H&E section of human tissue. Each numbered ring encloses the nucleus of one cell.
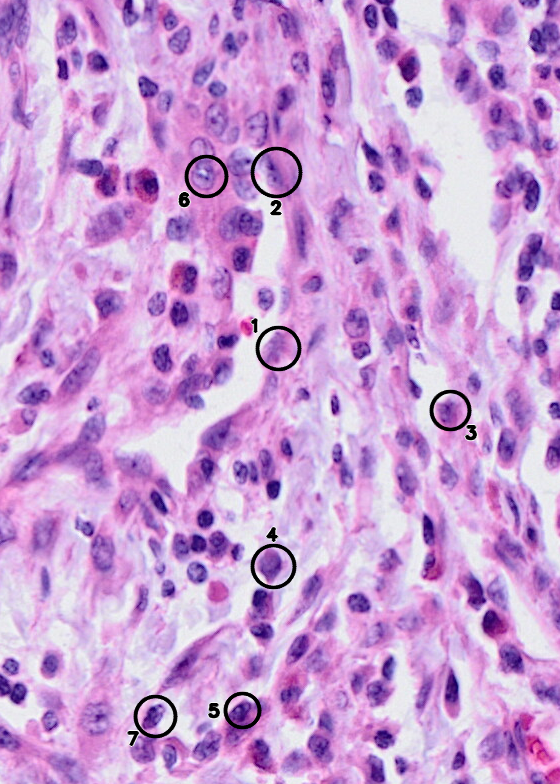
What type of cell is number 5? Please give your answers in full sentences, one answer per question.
Number 5 among the marked cells is a lymphocyte.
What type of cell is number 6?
At number 6, the marked cell is an endothelial cell.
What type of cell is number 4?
In this section, the cell tagged 4 is a macrophage or monocyte.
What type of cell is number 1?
The nucleus labelled 1 belongs to an endothelial cell.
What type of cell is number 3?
Marked with the number 3, this cell is a macrophage or monocyte.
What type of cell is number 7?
Denoted by the label 7 in the section is a lymphocyte.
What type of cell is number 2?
The cell assigned the number 2 is an endothelial cell.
